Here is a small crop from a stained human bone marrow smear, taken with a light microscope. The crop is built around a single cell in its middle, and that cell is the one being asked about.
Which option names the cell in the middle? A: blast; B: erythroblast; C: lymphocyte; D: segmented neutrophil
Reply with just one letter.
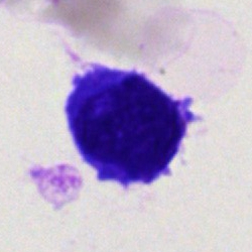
A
